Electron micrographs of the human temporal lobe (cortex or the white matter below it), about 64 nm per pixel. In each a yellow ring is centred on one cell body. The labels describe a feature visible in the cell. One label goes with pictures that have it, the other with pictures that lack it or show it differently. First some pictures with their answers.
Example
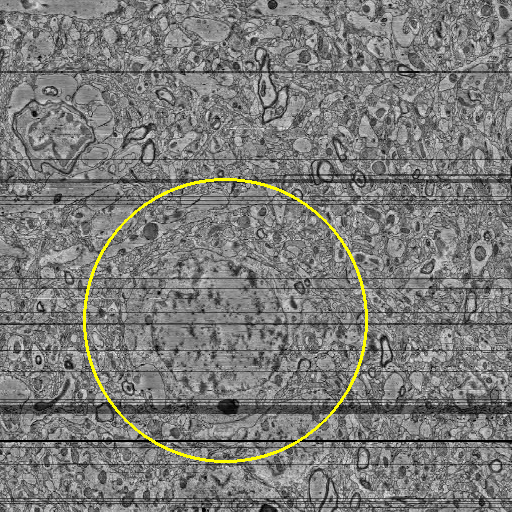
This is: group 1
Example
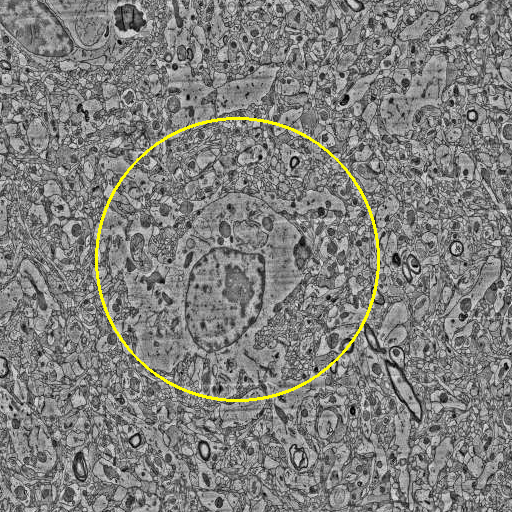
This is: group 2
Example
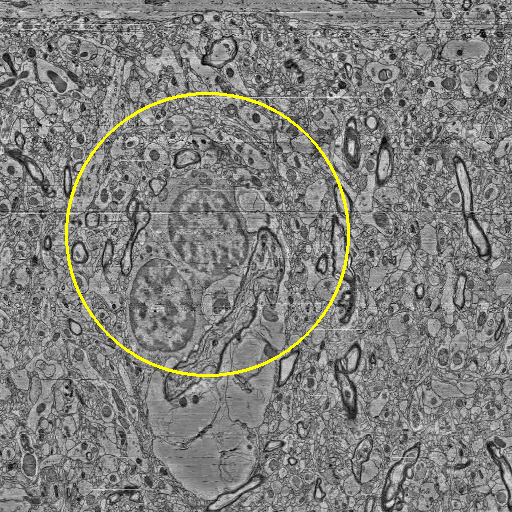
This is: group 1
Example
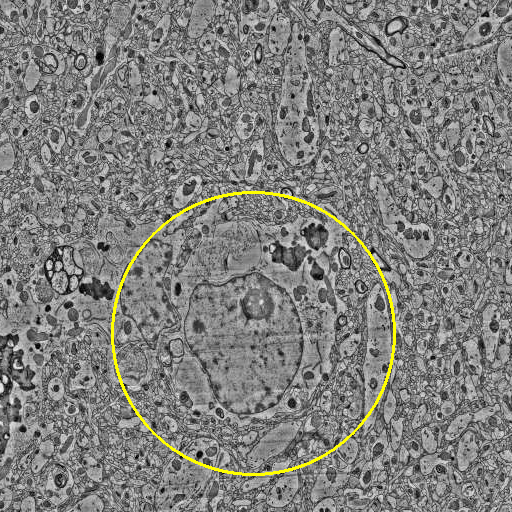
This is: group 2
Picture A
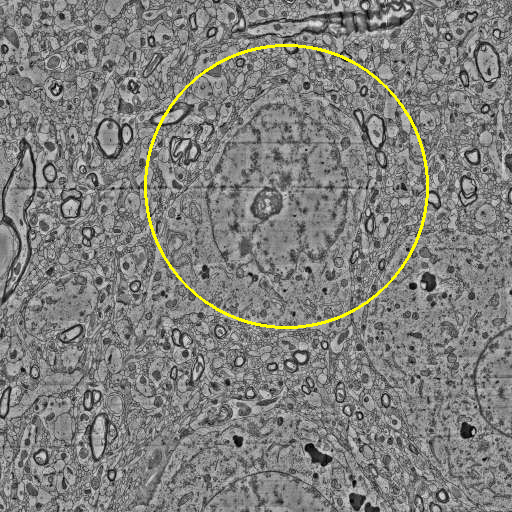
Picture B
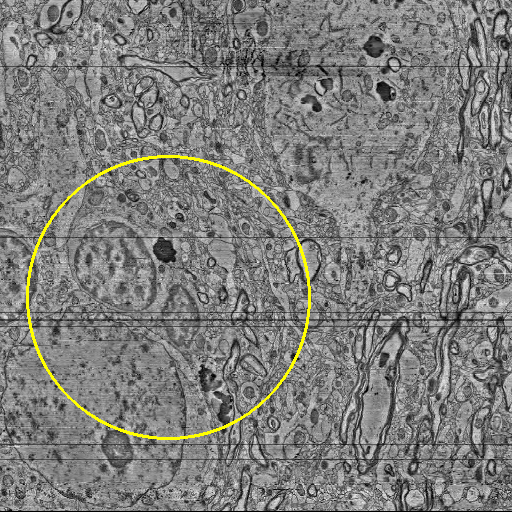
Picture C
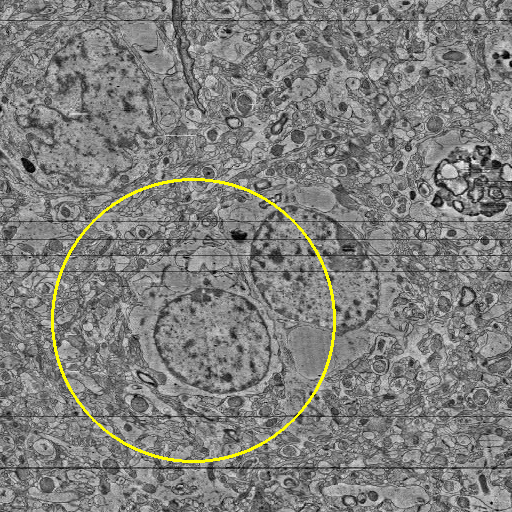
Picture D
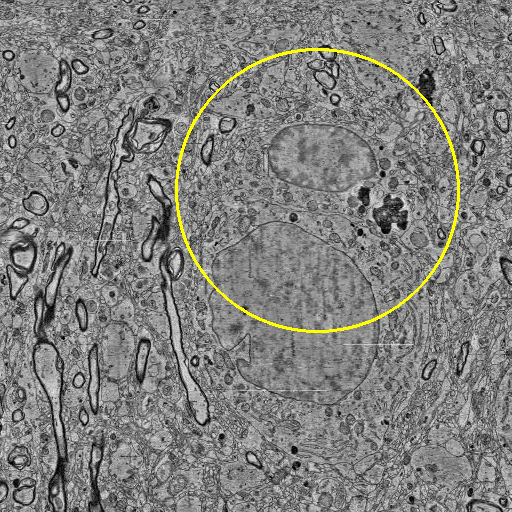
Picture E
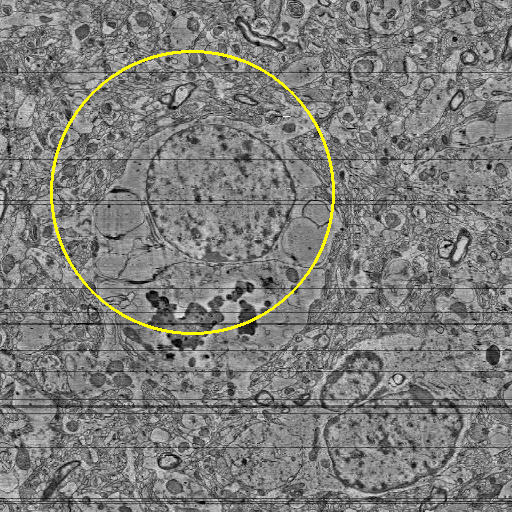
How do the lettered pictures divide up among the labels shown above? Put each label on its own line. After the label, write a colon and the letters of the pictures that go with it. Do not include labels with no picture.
group 1: B, C, D, E
group 2: A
